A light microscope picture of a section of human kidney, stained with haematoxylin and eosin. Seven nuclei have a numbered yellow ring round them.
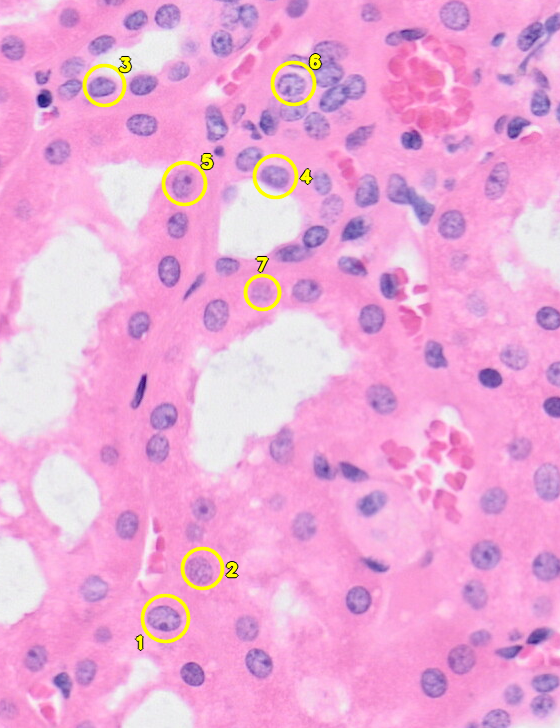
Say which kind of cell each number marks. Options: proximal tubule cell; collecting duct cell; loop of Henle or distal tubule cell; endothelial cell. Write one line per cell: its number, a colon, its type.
1: proximal tubule cell
2: proximal tubule cell
3: collecting duct cell
4: collecting duct cell
5: proximal tubule cell
6: collecting duct cell
7: proximal tubule cell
